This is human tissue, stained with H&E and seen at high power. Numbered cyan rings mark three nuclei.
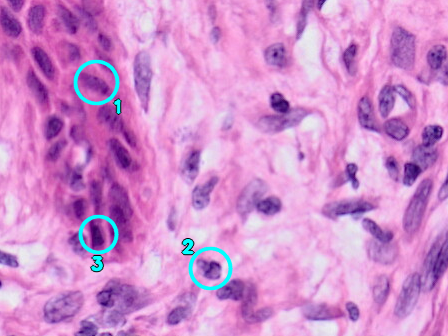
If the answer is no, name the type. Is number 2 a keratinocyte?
No, it is a lymphocyte.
